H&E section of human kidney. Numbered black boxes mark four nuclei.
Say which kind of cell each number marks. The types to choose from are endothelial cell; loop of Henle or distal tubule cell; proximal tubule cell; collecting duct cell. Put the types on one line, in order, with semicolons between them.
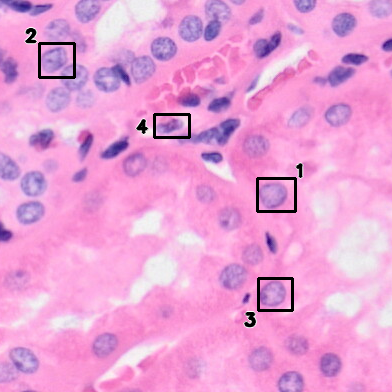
proximal tubule cell; collecting duct cell; proximal tubule cell; endothelial cell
